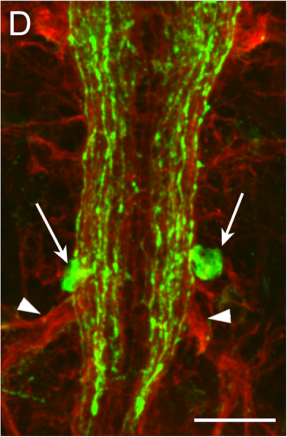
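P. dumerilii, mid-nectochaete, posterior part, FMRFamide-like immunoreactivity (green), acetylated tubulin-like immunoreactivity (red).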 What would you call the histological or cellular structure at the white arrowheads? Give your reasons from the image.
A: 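The arrowheads point to red fibre bundles that leave the cord sideways. The red bundles branch off laterally near the green cell bodies. The answer: roots of parapodial nerves.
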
